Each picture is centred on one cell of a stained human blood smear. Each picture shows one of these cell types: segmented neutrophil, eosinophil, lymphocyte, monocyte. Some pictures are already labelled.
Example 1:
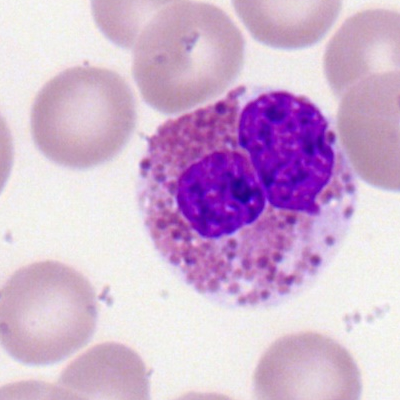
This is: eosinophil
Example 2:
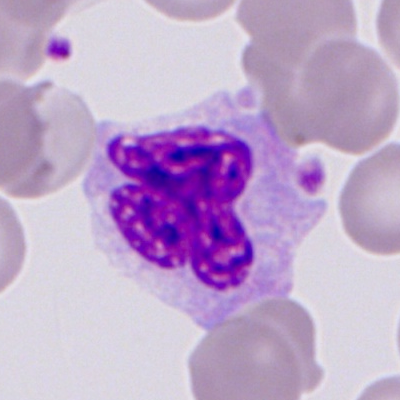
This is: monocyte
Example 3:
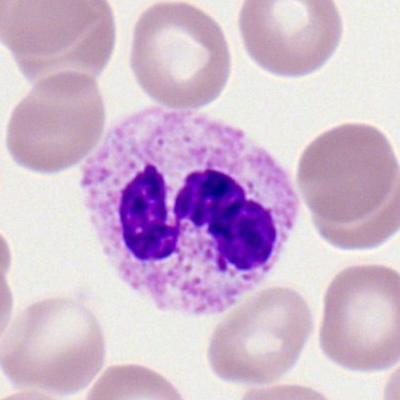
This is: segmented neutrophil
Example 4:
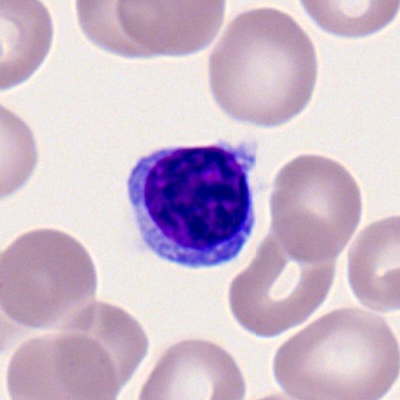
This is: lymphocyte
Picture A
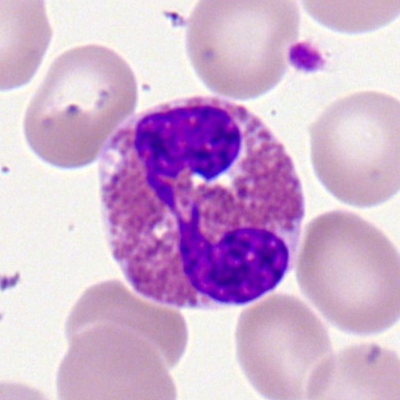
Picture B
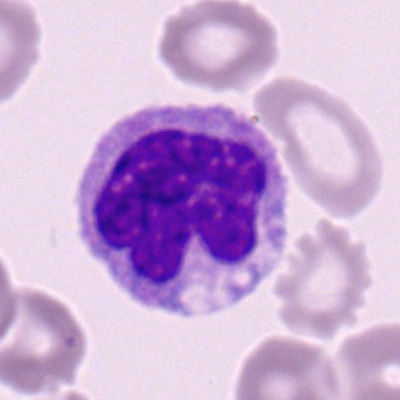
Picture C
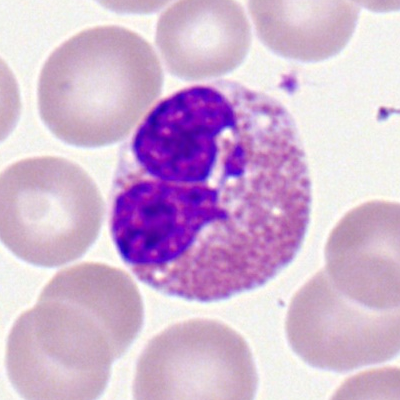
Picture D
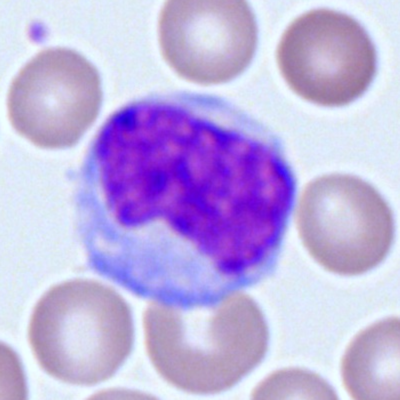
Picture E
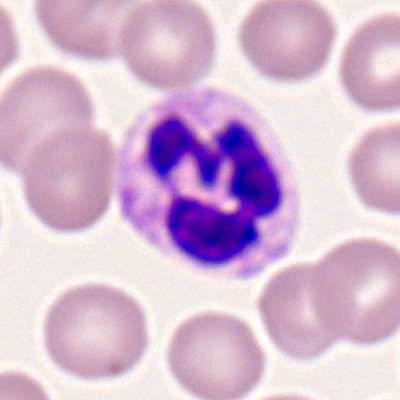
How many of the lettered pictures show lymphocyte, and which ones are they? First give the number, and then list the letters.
0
